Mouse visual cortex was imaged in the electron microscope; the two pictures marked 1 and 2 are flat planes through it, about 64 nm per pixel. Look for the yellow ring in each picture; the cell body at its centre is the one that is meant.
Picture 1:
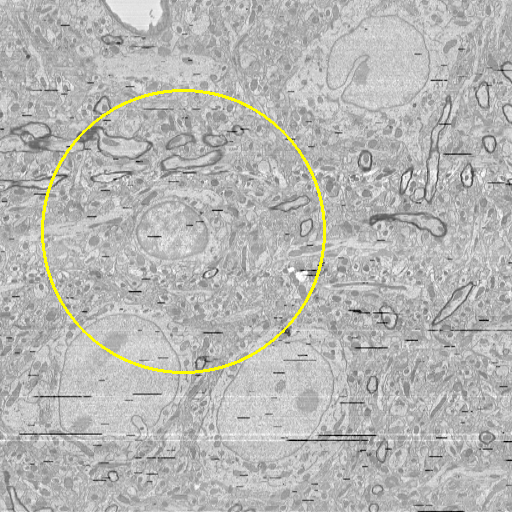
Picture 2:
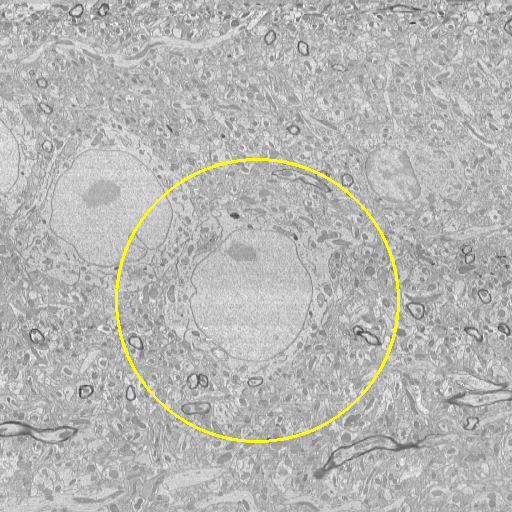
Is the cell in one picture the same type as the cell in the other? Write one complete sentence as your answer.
No; the cell in picture 1 is an oligodendrocyte, while the one in picture 2 is an excitatory neuron.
